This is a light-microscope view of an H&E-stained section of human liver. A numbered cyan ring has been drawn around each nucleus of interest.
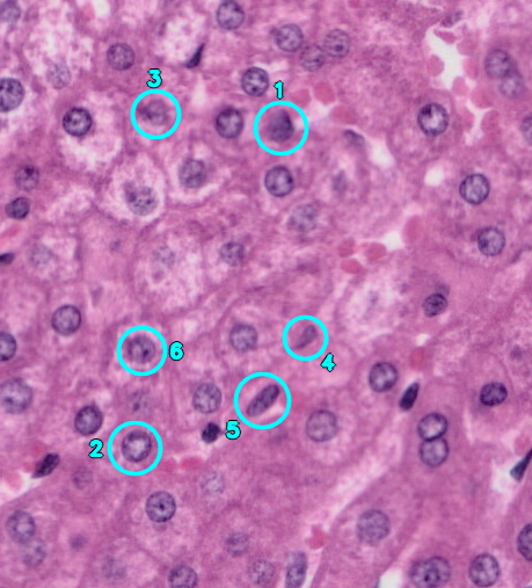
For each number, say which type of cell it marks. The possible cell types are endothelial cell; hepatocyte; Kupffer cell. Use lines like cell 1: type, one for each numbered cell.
cell 1: endothelial cell
cell 2: hepatocyte
cell 3: hepatocyte
cell 4: endothelial cell
cell 5: Kupffer cell
cell 6: hepatocyte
